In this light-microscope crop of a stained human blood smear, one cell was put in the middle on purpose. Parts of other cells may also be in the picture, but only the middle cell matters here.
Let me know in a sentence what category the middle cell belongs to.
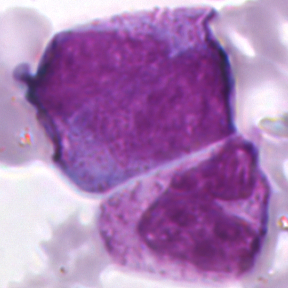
The target cell in the middle of the crop is a promyelocyte.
